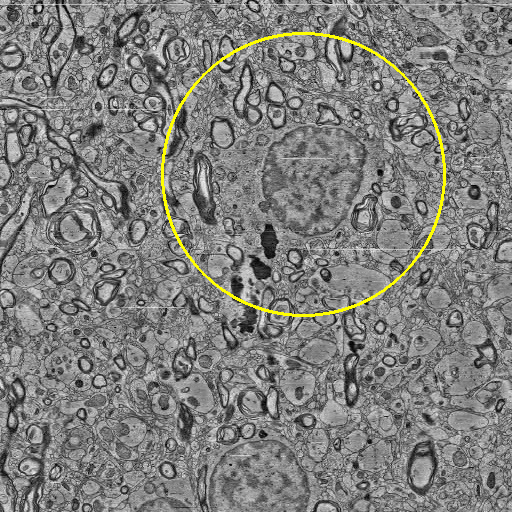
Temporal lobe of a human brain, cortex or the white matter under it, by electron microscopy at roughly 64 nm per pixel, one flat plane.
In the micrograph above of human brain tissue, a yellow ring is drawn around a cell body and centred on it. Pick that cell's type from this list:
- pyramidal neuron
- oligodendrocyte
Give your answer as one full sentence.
Going by the list, an oligodendrocyte is the cell on which the yellow ring is centred.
